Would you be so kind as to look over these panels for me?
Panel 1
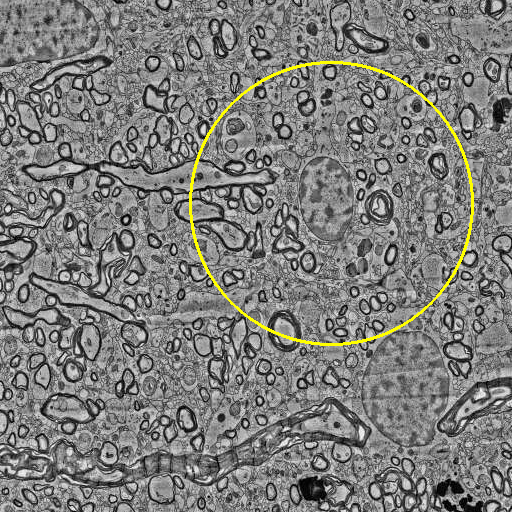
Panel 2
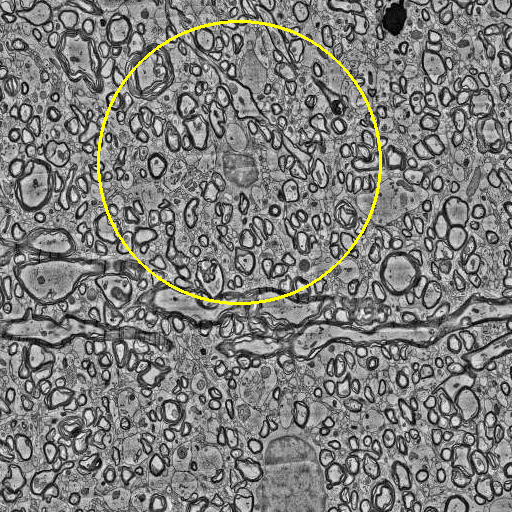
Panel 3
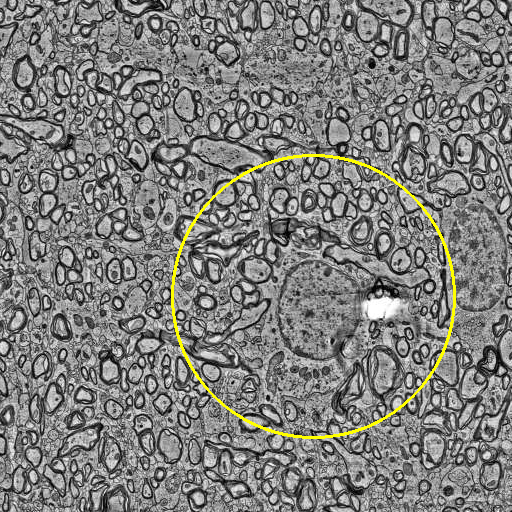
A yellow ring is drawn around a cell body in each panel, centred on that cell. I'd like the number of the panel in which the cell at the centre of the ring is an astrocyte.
3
